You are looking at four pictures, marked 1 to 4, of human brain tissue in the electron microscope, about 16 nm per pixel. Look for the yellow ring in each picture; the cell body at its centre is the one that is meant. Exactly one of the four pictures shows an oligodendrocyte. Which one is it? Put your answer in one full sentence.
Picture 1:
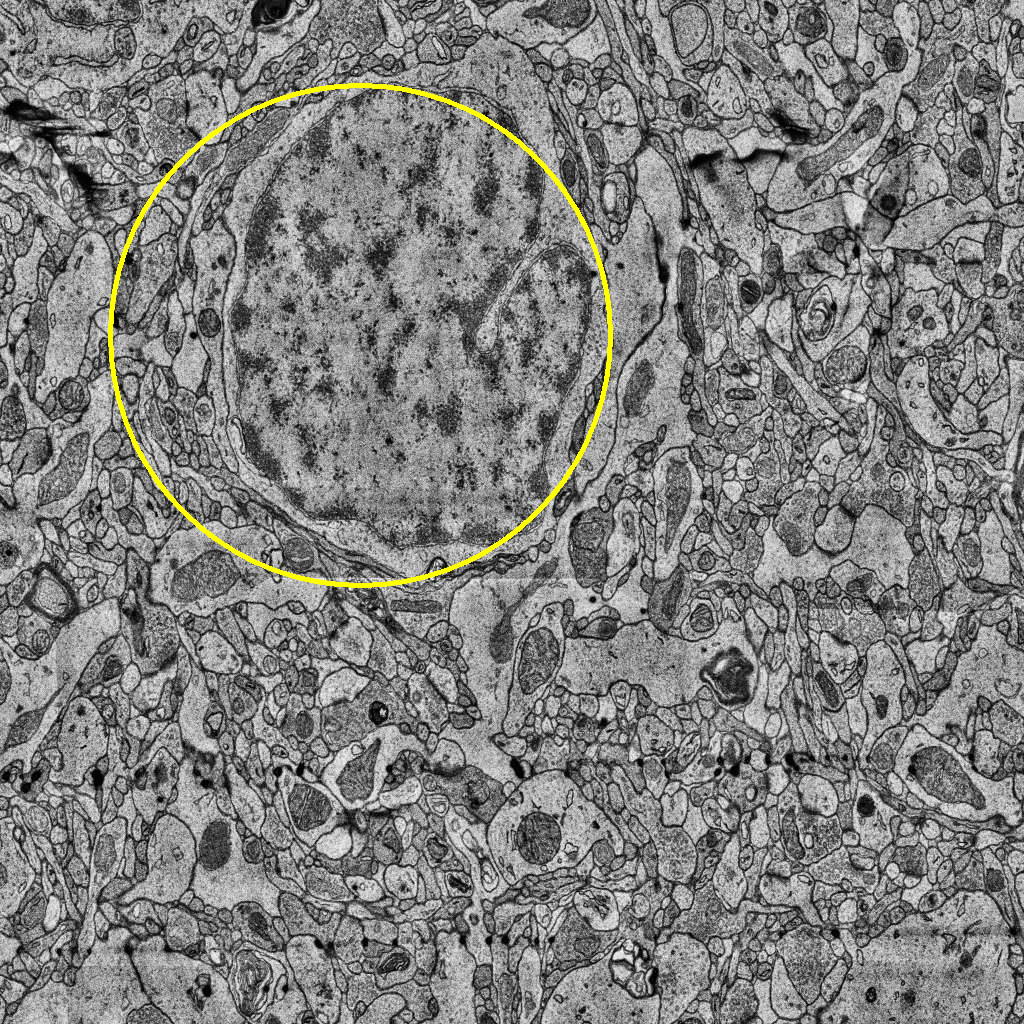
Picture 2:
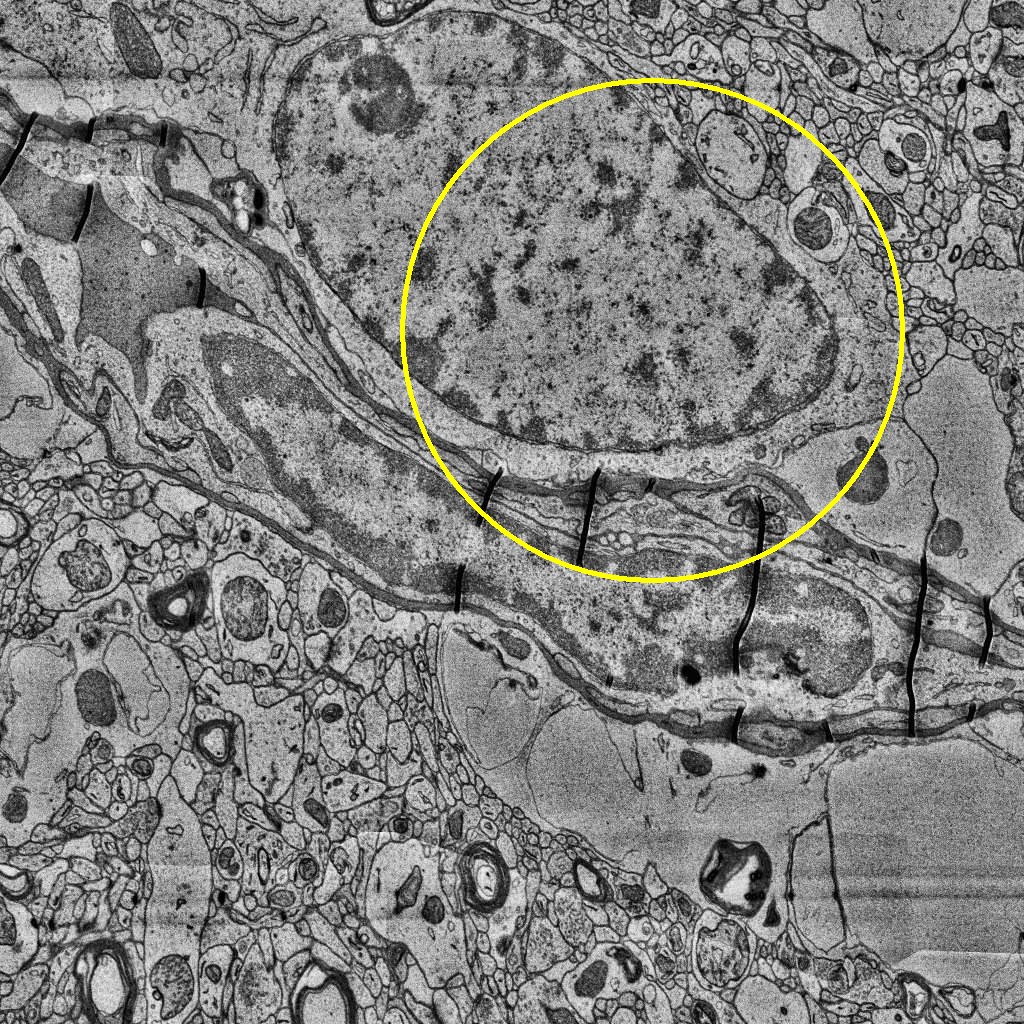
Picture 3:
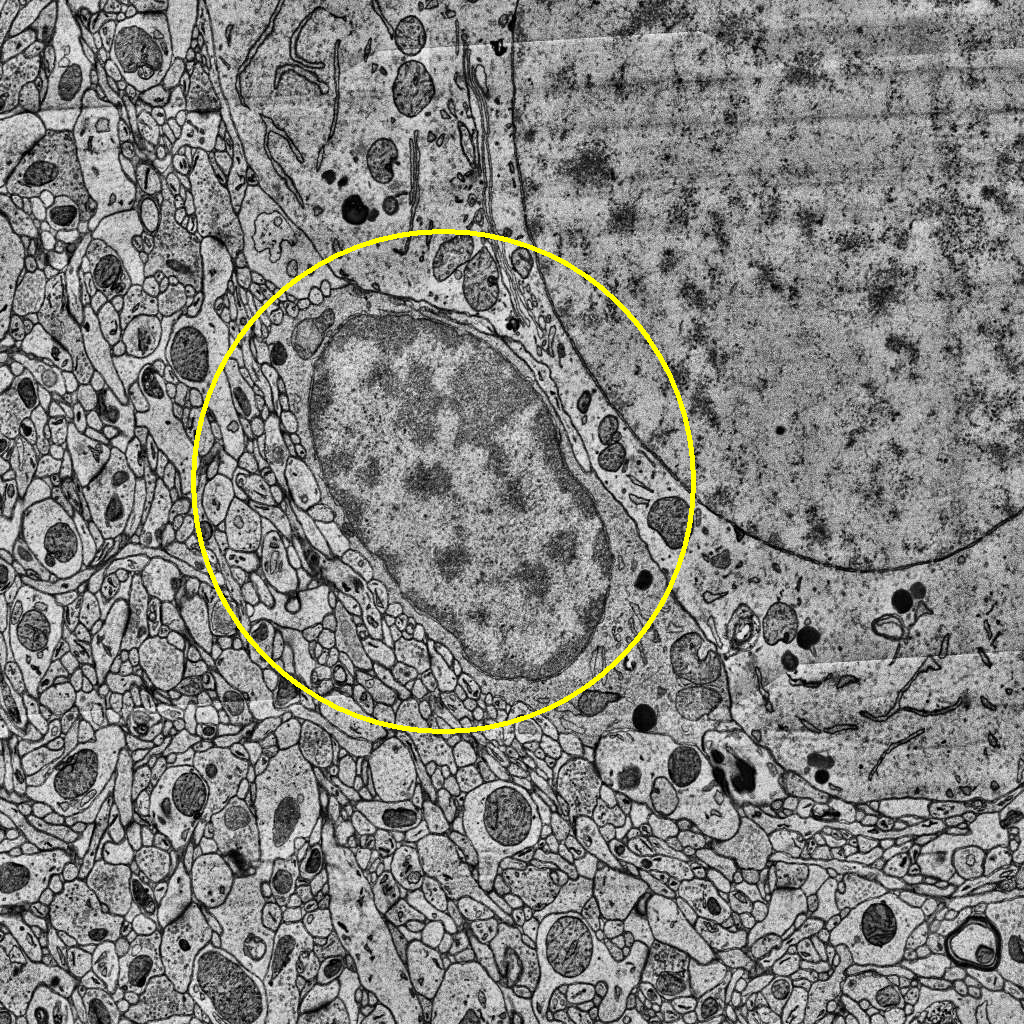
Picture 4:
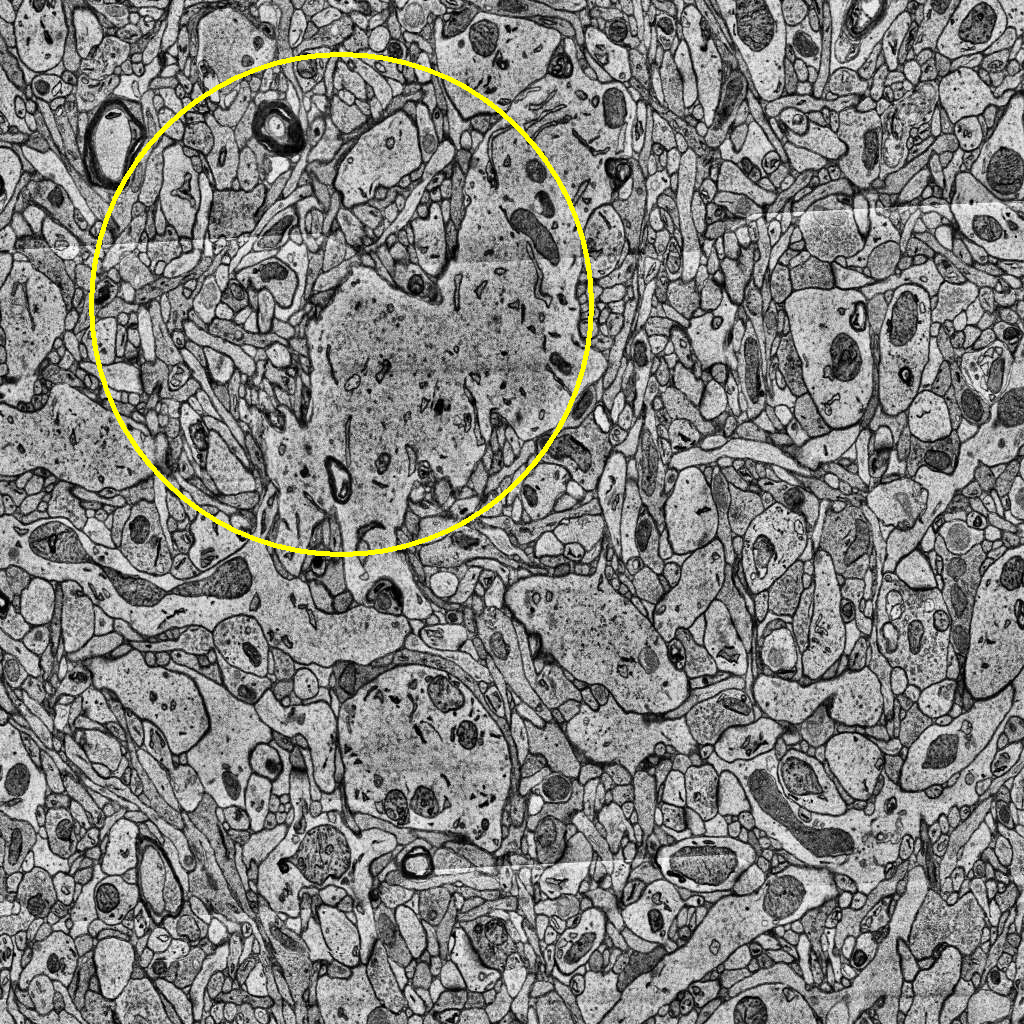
The oligodendrocyte is the one in picture 3.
